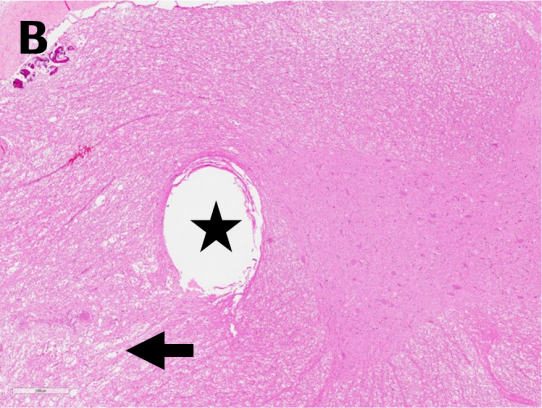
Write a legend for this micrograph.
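Spinal cord at low magnification with a round, empty, smooth-walled imprint in the parenchyma bordered by compressed pink tissue. Beside and below it the white matter is paler and loosened with vacuoles, while the tissue farther away is more compact.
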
